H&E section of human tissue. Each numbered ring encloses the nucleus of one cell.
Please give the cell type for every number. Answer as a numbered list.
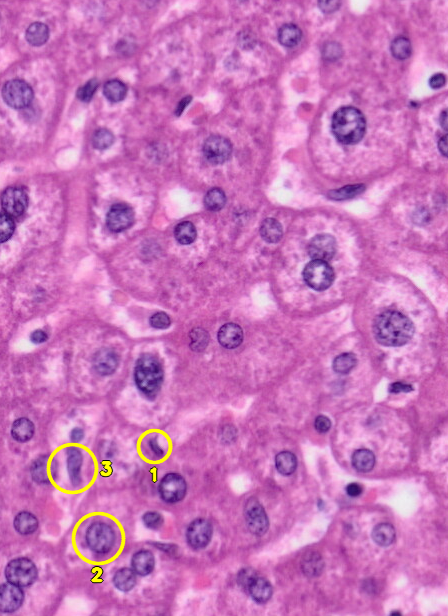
1. endothelial cell
2. hepatocyte
3. Kupffer cell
